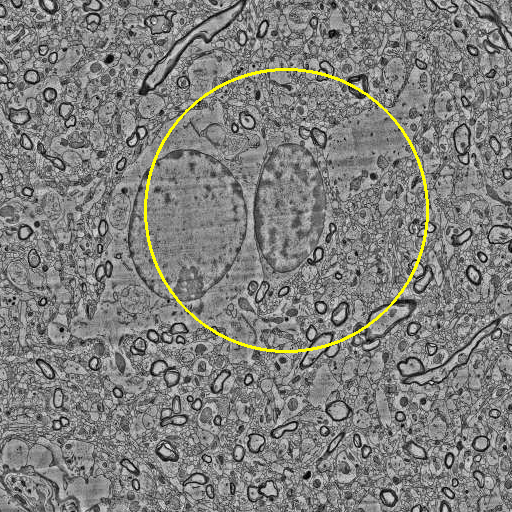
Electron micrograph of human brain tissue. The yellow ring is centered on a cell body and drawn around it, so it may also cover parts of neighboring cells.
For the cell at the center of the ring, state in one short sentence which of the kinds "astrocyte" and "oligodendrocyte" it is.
This ring is centered on an oligodendrocyte.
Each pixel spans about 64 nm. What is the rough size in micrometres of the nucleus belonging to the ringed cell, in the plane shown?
Approximately 8 x 4 micrometres in this plane.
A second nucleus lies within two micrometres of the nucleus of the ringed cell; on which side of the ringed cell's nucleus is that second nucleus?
That other nucleus sits to the left of it.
